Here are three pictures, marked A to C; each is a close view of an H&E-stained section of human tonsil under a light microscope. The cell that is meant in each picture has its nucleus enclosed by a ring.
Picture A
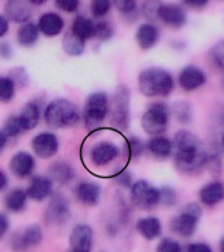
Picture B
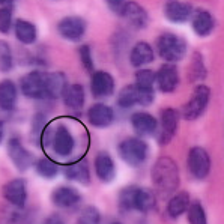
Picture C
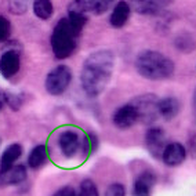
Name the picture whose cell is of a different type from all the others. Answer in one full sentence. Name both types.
Unlike the rest, which show small lymphocytes, picture C shows a plasma cell.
